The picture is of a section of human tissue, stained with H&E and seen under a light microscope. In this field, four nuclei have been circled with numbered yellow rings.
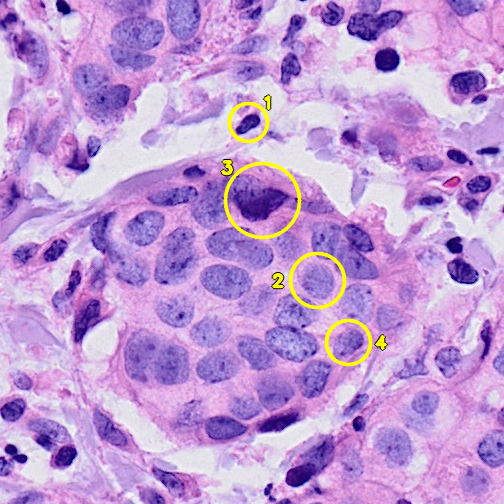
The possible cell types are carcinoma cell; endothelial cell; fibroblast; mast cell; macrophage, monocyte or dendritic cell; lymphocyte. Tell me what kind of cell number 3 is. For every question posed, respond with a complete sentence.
The cell to which the number 3 is assigned is a carcinoma cell.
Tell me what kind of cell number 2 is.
The cell to which the number 2 is assigned is a carcinoma cell.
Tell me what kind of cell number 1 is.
In this section, number 1 marks a lymphocyte.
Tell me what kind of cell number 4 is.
Numbered cell 4 is a carcinoma cell in this tissue section.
